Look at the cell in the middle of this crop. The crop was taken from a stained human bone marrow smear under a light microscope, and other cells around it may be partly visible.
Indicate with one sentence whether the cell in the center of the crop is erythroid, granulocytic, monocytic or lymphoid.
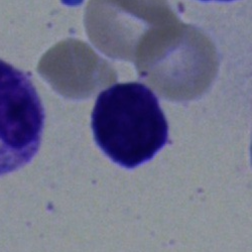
Among the lineages, the lymphoid one is that of the central cell.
